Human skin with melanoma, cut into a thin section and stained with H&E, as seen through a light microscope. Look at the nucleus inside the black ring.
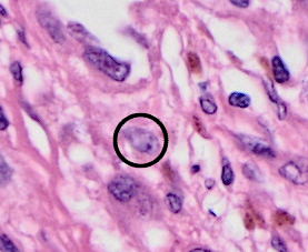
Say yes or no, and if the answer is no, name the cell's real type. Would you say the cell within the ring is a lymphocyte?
No, it is a macrophage or monocyte.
